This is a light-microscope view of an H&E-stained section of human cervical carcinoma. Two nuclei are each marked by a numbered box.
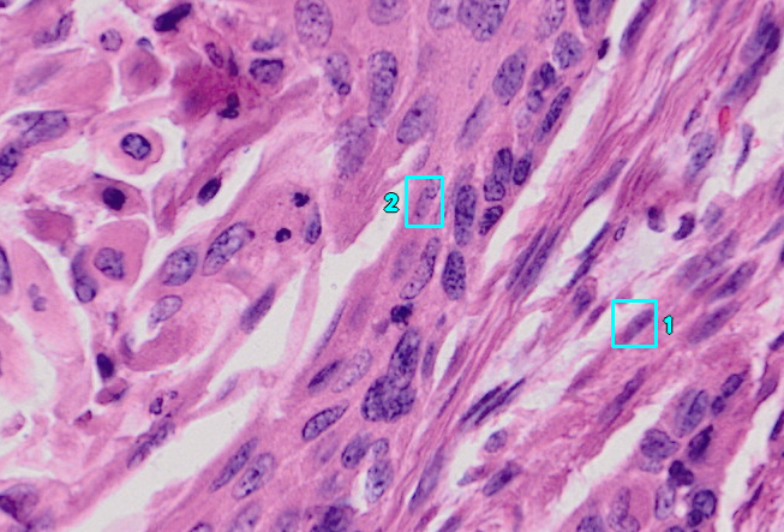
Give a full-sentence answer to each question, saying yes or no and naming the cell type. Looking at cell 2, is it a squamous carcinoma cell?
Yes, it checks out; the cell labelled 2 is a squamous carcinoma cell.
